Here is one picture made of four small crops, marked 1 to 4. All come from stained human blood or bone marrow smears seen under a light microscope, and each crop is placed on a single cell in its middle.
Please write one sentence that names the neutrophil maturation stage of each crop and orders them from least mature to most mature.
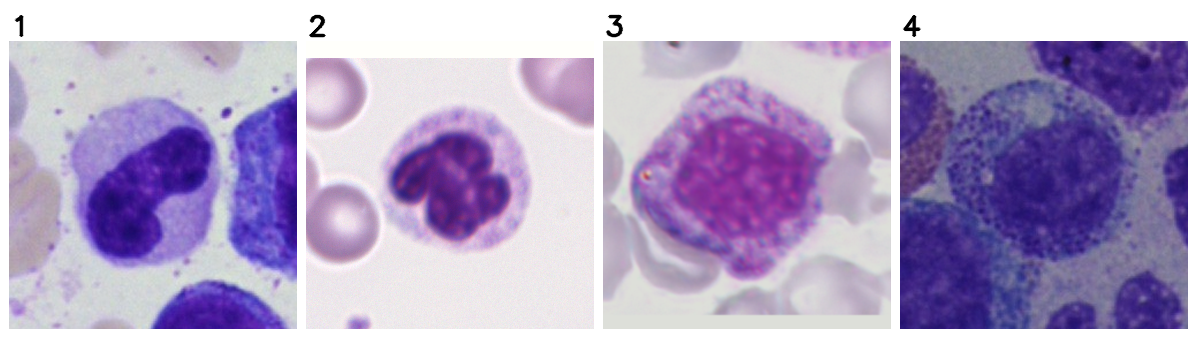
Moving up in maturity, the order goes crop 4 (a promyelocyte), crop 3 (a myelocyte), crop 1 (a band neutrophil) and crop 2 (a segmented neutrophil).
